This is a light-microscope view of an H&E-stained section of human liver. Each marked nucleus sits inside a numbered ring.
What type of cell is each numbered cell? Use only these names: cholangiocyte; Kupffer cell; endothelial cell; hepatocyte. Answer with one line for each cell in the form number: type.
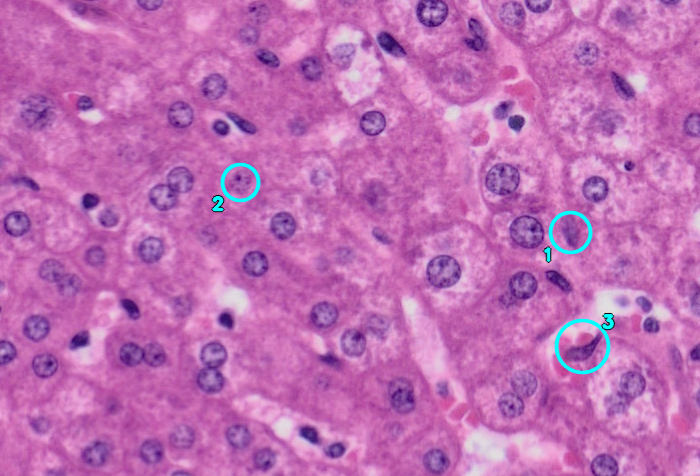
1: endothelial cell
2: hepatocyte
3: Kupffer cell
